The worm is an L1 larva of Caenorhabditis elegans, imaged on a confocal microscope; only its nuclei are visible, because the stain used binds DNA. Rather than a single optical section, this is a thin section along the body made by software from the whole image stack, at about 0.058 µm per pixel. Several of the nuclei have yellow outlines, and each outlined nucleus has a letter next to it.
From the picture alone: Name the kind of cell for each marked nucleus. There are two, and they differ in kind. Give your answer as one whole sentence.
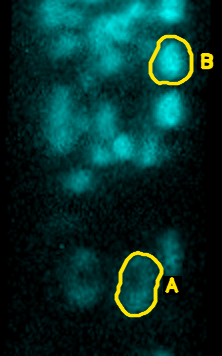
A is the nucleus of an intestinal cell; B is the nucleus of a neuron.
